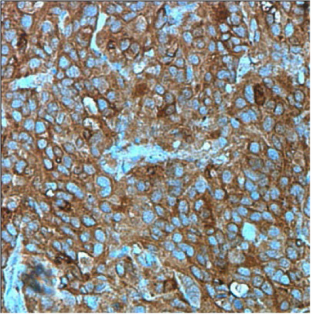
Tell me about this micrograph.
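The brown reaction fills the cell bodies diffusely and is darker in some larger cells. Narrow channels and small vessels crossing the field stay pale blue and unstained, standing out against the brown tumor. The staining is widespread and uniform across the field rather than patchy.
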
